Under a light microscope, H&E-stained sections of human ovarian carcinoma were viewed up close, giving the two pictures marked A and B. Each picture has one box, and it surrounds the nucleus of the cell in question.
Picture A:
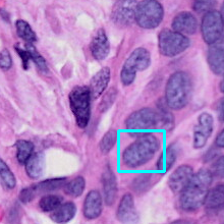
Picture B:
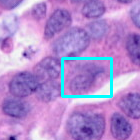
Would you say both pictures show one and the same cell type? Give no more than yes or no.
yes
